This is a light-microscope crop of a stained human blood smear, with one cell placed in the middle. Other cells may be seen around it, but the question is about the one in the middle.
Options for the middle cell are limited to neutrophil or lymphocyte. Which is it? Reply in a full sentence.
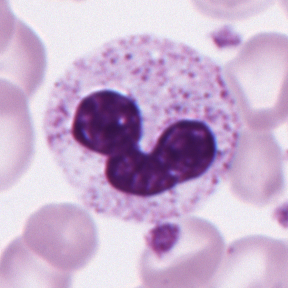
The cell at the middle of the crop is recognized as a neutrophil.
